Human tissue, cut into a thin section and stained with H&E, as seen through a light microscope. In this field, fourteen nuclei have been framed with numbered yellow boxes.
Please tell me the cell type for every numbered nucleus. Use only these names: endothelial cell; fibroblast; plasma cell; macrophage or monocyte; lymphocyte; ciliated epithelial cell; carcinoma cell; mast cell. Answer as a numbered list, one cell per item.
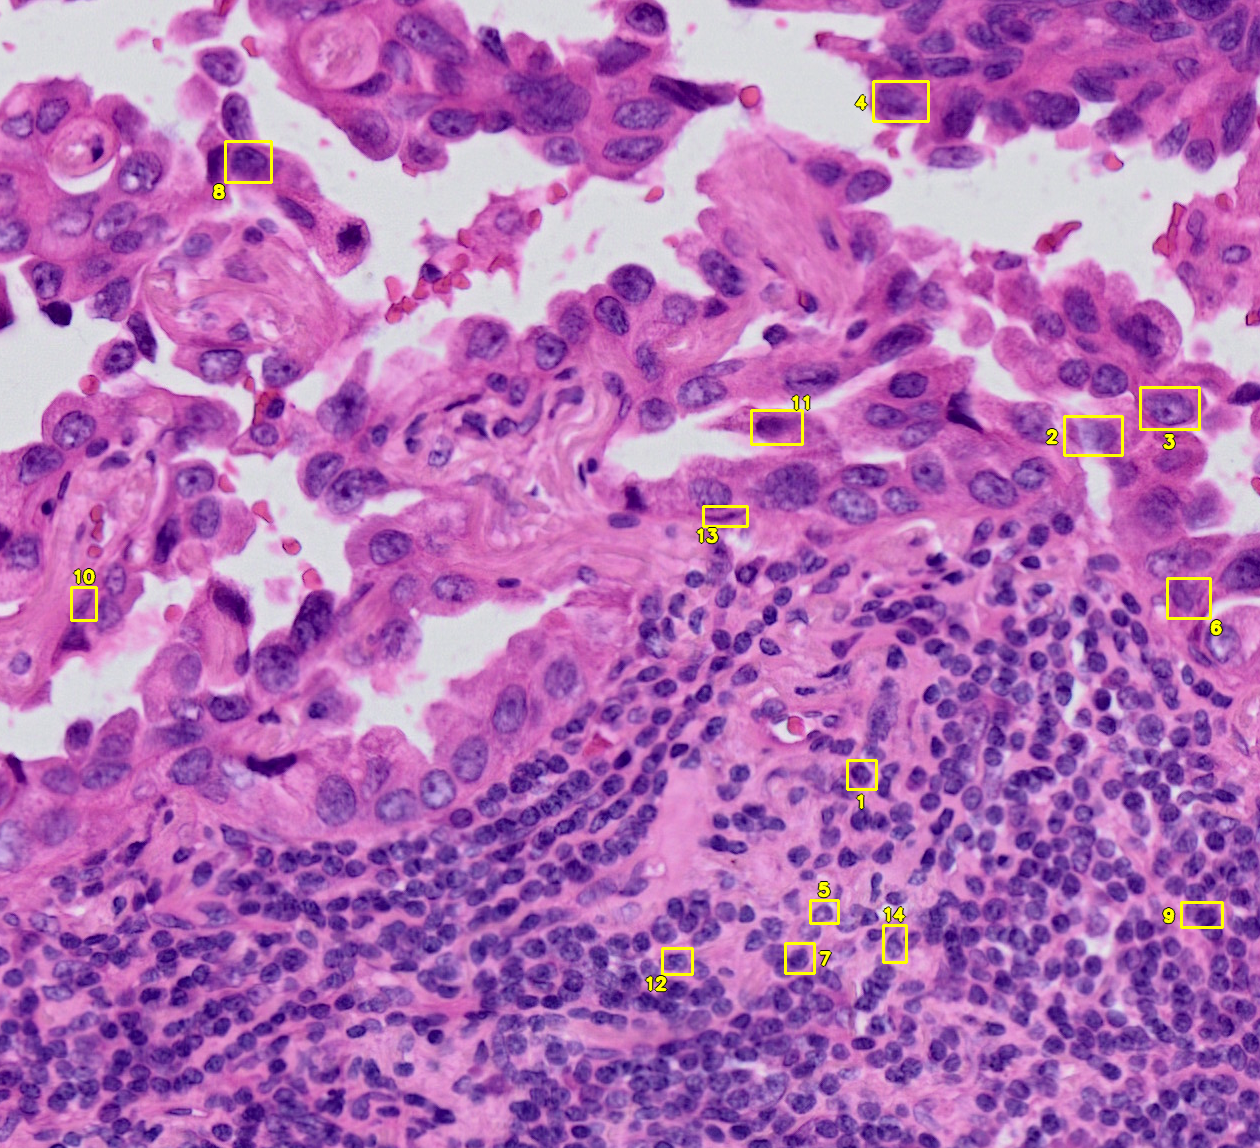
1. plasma cell
2. carcinoma cell
3. carcinoma cell
4. carcinoma cell
5. lymphocyte
6. carcinoma cell
7. lymphocyte
8. carcinoma cell
9. lymphocyte
10. carcinoma cell
11. carcinoma cell
12. lymphocyte
13. carcinoma cell
14. lymphocyte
